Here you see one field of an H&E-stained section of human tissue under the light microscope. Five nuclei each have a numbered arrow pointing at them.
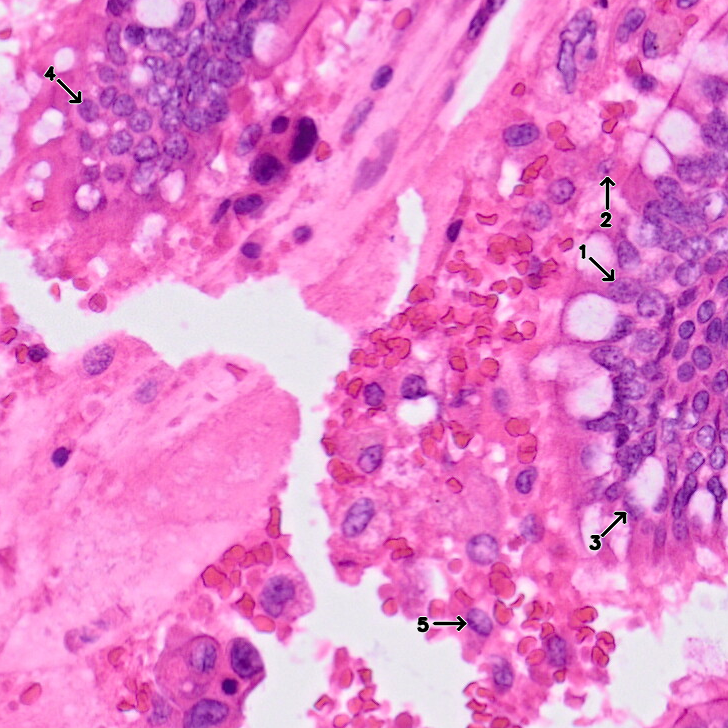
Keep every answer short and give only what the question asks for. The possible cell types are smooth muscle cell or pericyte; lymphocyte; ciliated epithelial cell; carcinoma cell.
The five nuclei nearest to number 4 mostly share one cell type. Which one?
ciliated epithelial cell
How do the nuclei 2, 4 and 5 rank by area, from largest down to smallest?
5, 4, 2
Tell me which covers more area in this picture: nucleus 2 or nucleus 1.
1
